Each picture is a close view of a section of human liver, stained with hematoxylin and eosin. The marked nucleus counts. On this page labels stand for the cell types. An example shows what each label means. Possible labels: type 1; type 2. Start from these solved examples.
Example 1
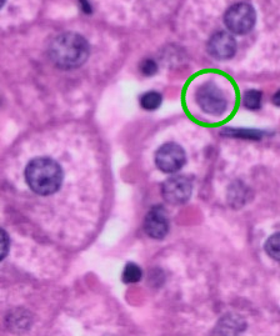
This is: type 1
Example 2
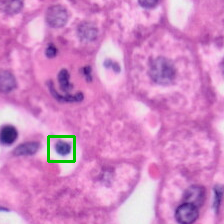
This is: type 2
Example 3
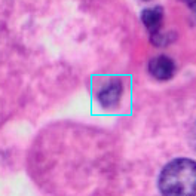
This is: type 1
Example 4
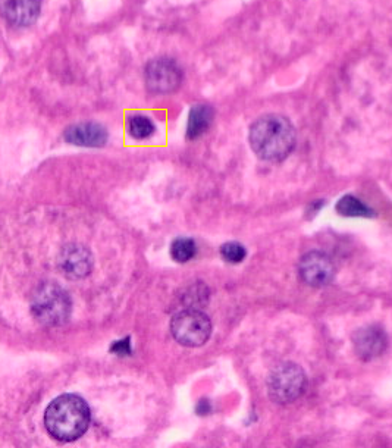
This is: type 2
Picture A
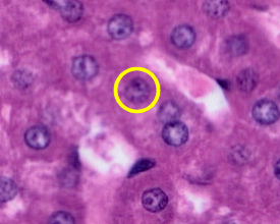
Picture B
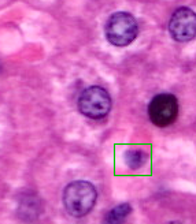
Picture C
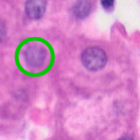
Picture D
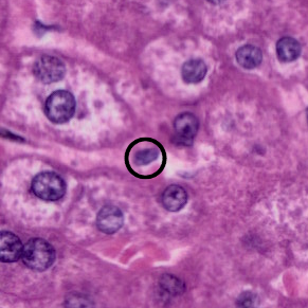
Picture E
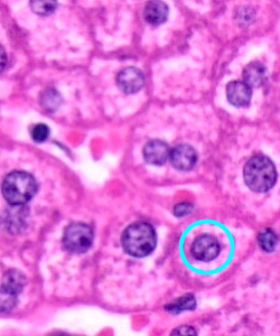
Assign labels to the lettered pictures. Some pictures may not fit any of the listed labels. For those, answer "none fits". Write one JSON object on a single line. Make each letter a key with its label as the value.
{"A": "none fits", "B": "type 2", "C": "none fits", "D": "type 2", "E": "none fits"}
